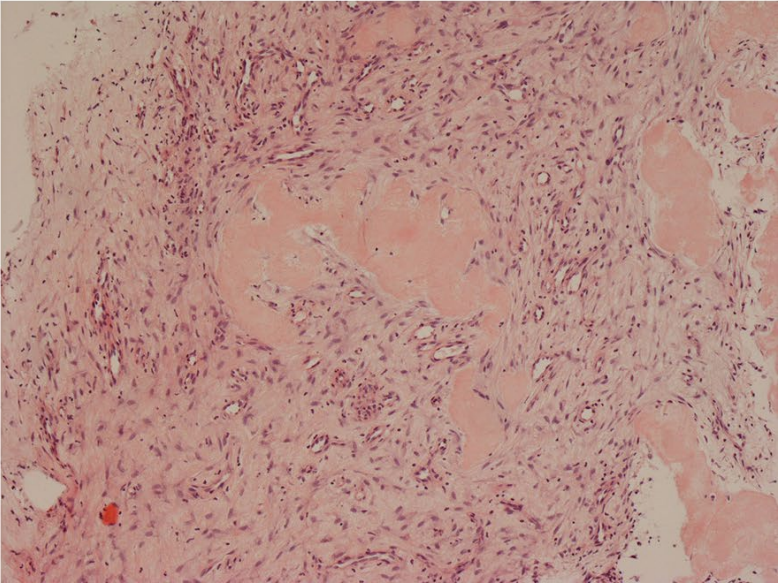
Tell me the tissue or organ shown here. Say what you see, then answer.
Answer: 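Spindle-shaped cells in a pale pink fibrous stroma. Many small vessel lumens scattered through the stroma.
Conclusion: well-vascularised fibrous tissue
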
